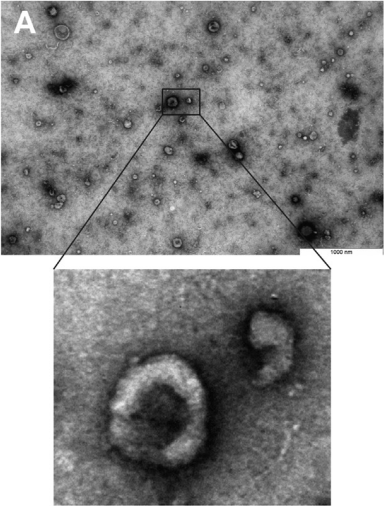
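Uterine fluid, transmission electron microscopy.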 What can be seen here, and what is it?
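This electron micrograph shows many small extracellular vesicles scattered over a grey background. The enlarged view shows one vesicle with the characteristic cup-shaped outline beside a smaller, crescent-shaped particle. Darker clumps of material lie among the vesicles.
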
